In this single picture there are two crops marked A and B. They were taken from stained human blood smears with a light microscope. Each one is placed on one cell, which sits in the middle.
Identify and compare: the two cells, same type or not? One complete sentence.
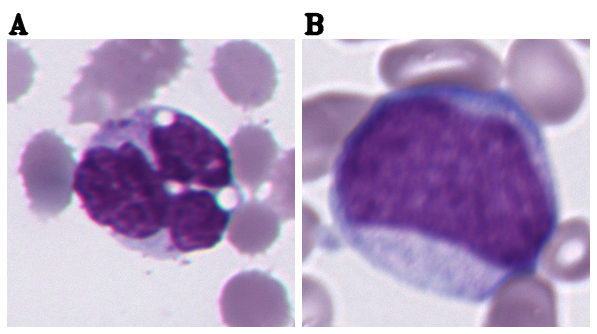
No, in fact crop A shows a monocyte, and crop B shows a promyelocyte.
